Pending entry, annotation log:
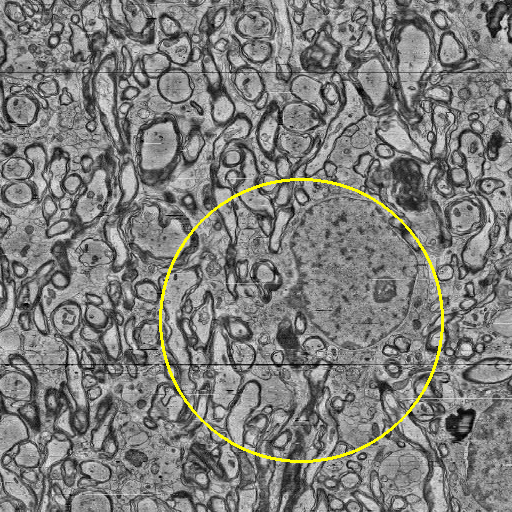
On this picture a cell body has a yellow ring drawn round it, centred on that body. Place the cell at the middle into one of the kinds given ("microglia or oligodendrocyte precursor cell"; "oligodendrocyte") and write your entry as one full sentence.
The cell body at the middle of the yellow ring belongs to a microglial cell or oligodendrocyte precursor cell.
